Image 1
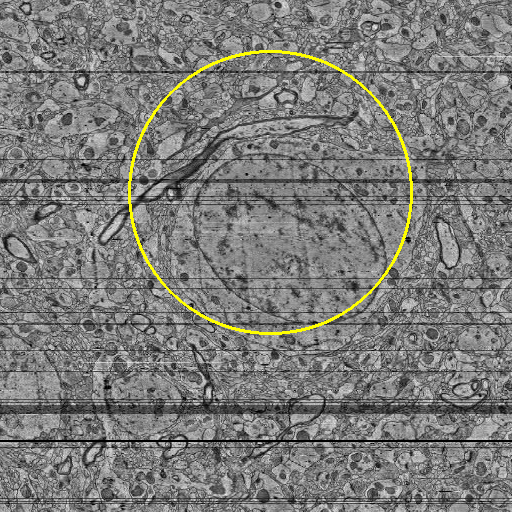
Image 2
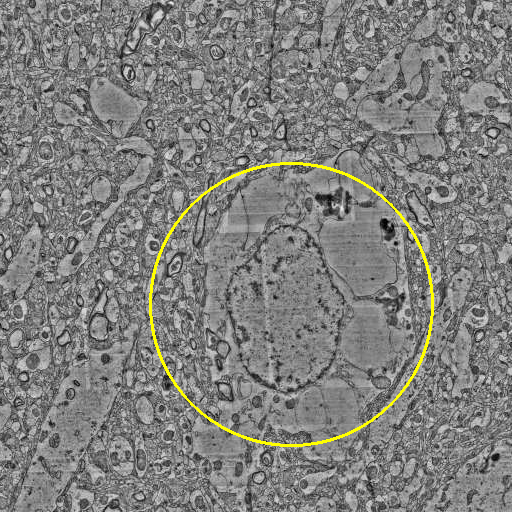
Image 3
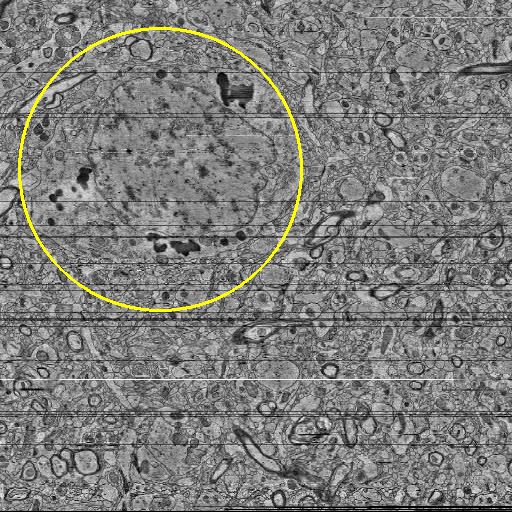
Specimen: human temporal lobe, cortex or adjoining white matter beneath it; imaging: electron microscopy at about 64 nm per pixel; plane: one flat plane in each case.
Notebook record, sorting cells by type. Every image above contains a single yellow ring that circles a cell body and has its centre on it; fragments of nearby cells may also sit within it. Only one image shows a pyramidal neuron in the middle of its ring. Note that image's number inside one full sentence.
For image 1, the cell in the middle of its yellow ring is the match.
